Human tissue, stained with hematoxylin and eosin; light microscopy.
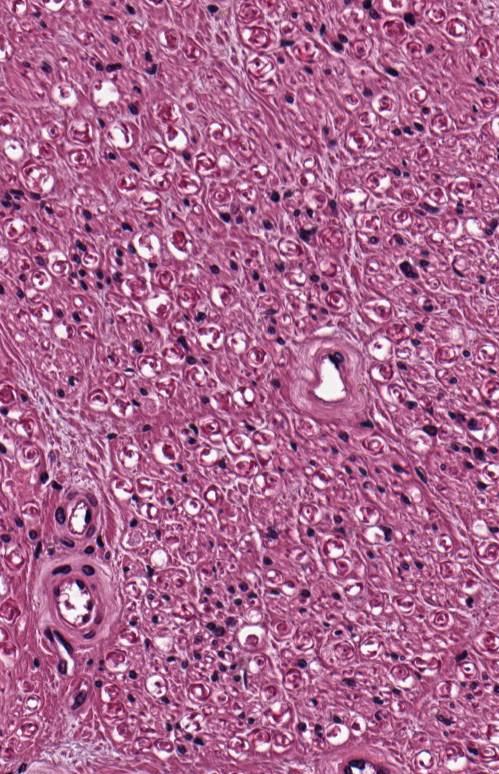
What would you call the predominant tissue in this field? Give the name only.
nerve fascicle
